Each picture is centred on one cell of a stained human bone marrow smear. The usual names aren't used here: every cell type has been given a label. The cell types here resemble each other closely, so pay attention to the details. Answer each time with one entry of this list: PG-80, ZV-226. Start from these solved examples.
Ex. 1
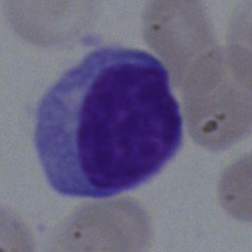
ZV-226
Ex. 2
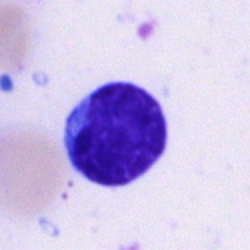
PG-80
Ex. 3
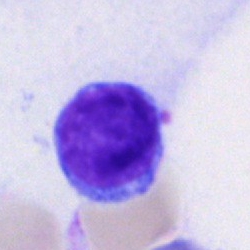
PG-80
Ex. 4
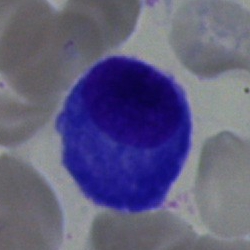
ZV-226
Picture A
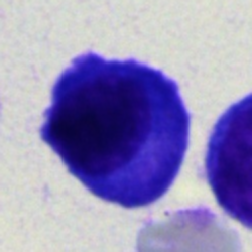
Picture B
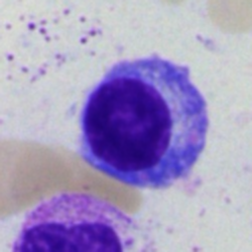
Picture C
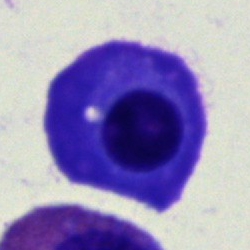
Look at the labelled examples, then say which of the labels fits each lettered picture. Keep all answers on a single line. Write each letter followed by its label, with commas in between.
A ZV-226, B ZV-226, C ZV-226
